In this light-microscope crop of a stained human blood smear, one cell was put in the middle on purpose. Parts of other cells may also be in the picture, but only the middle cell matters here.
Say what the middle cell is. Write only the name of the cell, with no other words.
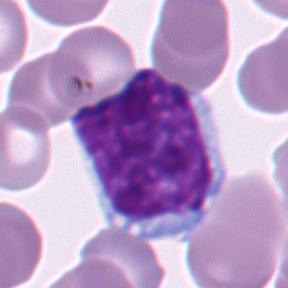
typical lymphocyte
